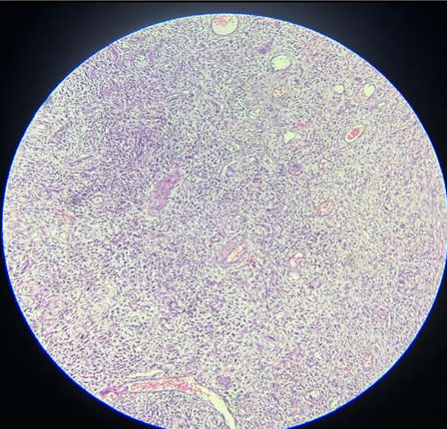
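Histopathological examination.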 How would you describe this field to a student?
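At low magnification this cellular lesion shows spindle-shaped cells in a loose background, traversed by variably sized blood vessels. Small and medium round lumina, some containing red blood cells, are scattered across the field, and a larger vessel filled with red cells lies at the lower edge. The cells are distributed fairly diffusely, with denser and paler areas alternating.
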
